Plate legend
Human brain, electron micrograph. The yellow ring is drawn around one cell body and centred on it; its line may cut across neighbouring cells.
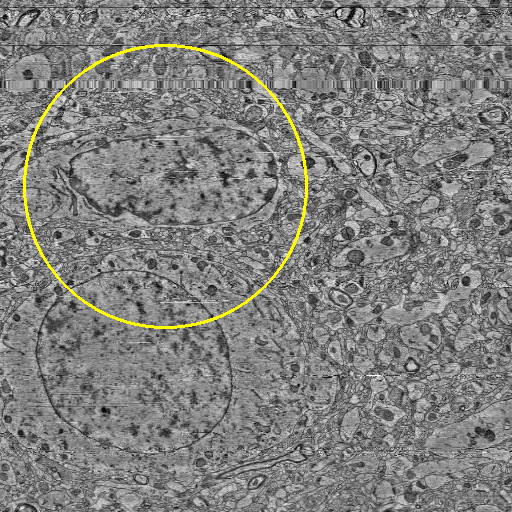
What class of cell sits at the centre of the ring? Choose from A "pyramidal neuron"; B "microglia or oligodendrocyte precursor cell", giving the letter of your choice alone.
B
